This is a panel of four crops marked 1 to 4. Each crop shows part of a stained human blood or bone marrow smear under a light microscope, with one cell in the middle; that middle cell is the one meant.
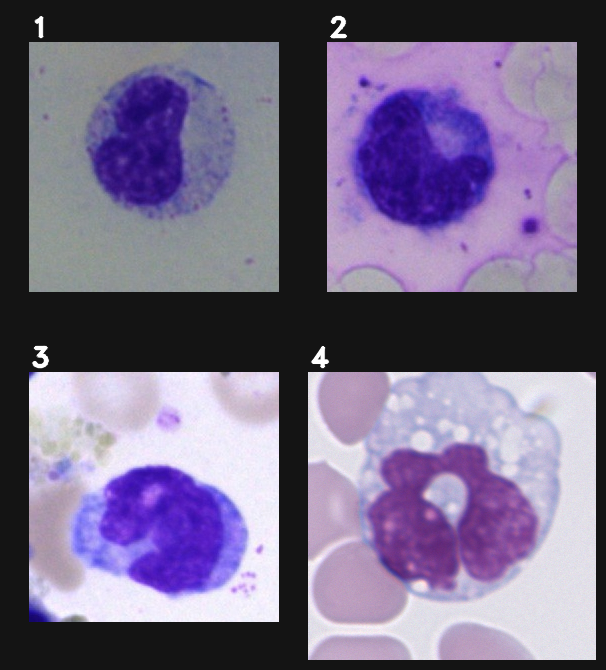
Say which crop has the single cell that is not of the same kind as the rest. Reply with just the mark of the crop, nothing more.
1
